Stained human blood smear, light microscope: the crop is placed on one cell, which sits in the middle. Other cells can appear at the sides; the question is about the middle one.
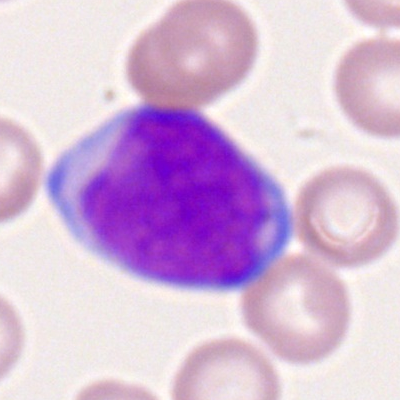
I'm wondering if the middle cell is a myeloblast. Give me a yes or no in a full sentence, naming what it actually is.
Yes, the cell positioned in the middle is a myeloblast.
